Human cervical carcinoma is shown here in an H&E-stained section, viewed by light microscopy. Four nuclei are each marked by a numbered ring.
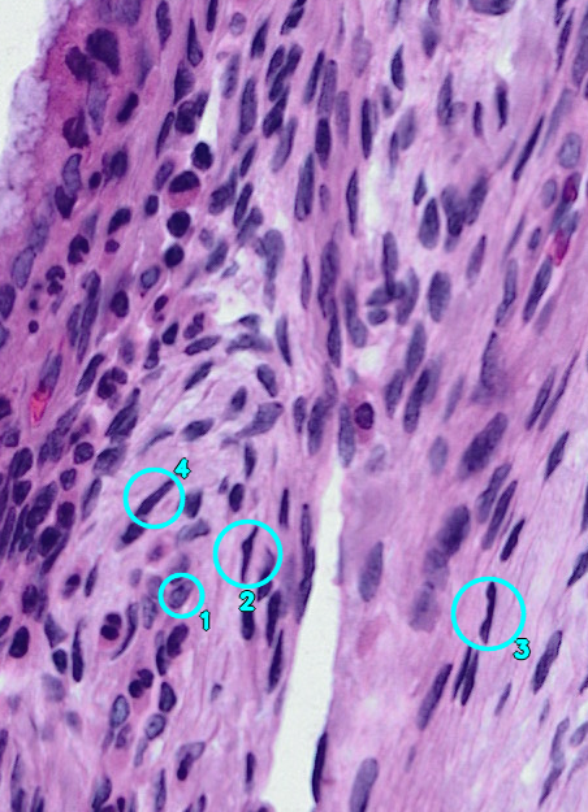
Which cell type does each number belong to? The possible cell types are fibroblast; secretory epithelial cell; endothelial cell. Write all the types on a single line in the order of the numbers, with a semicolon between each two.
endothelial cell; fibroblast; fibroblast; fibroblast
